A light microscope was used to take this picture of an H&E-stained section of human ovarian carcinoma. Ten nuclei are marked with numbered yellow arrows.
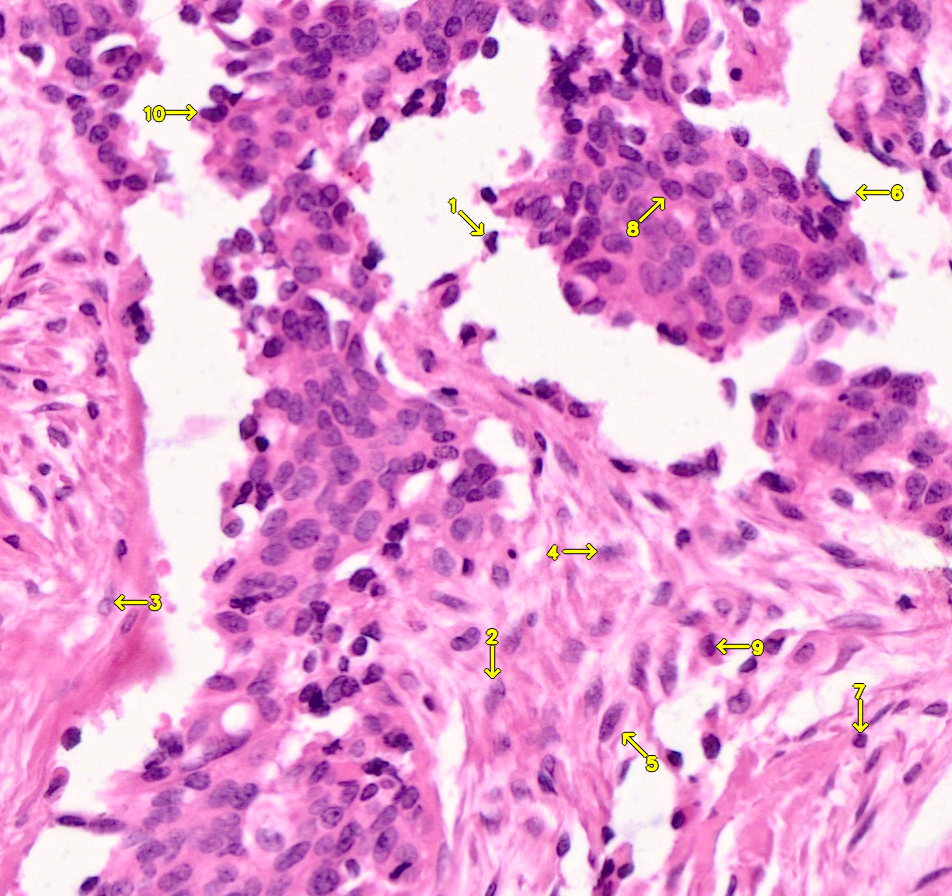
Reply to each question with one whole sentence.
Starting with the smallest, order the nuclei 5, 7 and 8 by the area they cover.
From smallest to largest, the order is 7, 8, 5.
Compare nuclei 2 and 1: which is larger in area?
Nucleus 2 covers more area, about 1.5 times as much as nucleus 1.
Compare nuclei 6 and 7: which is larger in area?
It is nucleus 6, which covers about 2 times the area of nucleus 7.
